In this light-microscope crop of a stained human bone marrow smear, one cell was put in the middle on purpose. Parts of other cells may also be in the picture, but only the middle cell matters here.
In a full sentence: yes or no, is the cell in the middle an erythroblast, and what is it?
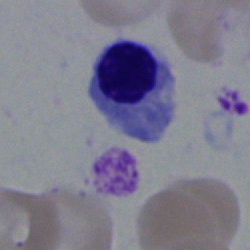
Yes, the cell centred in the field of view is an erythroblast.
